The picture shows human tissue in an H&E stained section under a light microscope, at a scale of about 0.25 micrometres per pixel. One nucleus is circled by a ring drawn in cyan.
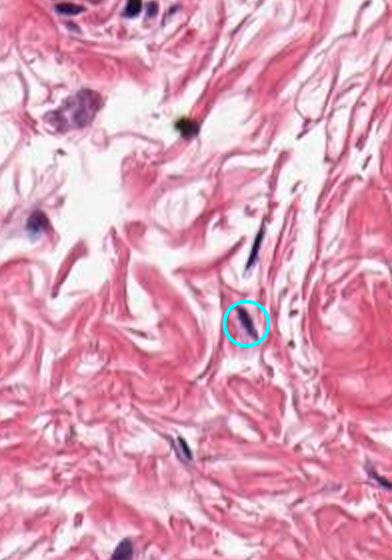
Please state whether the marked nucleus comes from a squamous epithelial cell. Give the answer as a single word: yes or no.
no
